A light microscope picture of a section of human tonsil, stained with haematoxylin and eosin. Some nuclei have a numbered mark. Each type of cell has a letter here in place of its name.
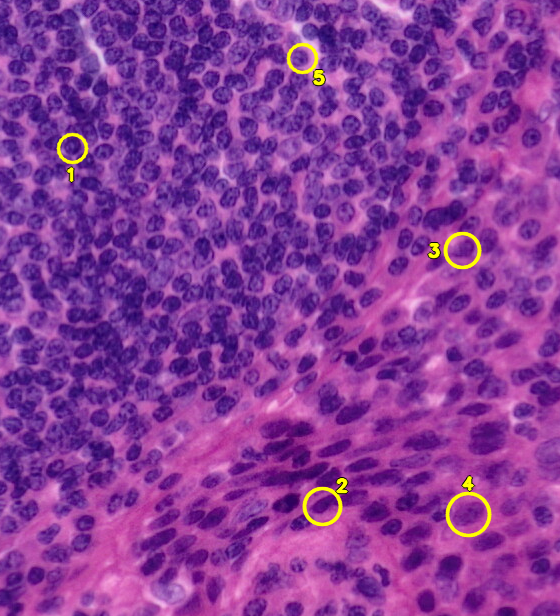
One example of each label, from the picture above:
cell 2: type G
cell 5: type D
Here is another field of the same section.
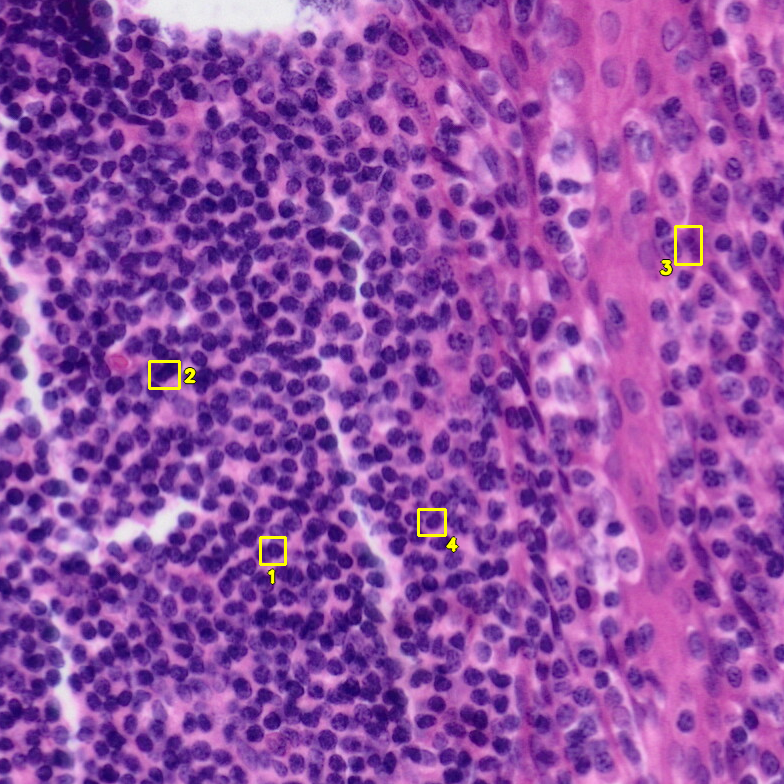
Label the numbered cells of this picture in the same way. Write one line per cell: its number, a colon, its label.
1: type D
2: type D
3: type G
4: type D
